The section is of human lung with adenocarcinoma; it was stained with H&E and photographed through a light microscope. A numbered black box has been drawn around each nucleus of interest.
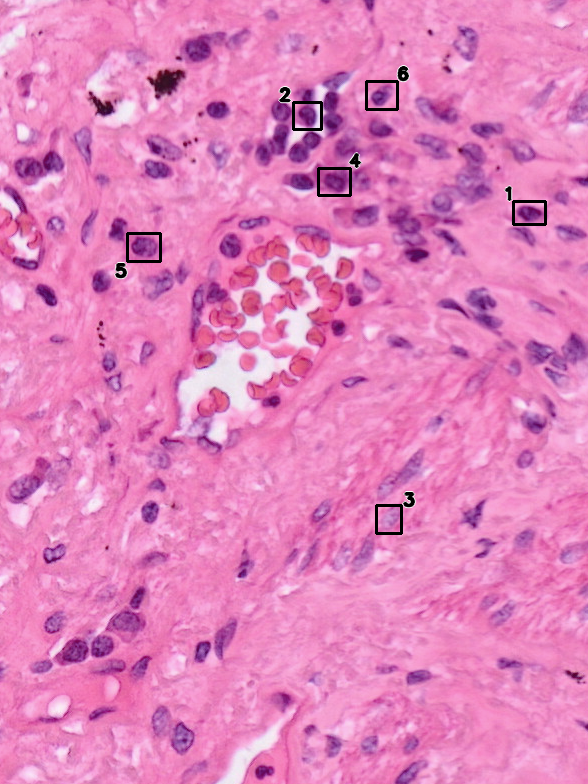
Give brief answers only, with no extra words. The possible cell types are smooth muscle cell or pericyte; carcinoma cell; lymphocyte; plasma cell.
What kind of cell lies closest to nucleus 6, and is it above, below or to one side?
a plasma cell below nucleus 6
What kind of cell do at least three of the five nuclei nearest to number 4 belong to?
plasma cell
